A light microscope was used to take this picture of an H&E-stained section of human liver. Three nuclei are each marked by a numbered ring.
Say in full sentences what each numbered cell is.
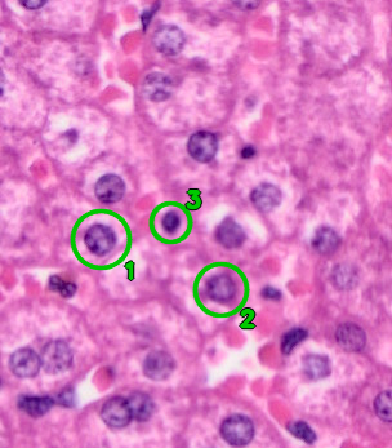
Cell 1 is a hepatocyte, cell 2 is a hepatocyte and cell 3 is a lymphocyte.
